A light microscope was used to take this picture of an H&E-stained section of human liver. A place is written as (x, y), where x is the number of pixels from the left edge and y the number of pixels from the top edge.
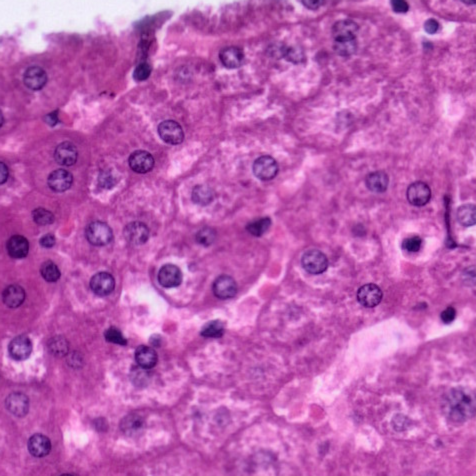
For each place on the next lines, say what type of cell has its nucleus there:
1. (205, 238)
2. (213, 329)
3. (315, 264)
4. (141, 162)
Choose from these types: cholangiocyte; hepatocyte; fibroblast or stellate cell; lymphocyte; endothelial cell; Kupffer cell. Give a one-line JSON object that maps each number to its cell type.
{"1": "hepatocyte", "2": "endothelial cell", "3": "hepatocyte", "4": "hepatocyte"}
